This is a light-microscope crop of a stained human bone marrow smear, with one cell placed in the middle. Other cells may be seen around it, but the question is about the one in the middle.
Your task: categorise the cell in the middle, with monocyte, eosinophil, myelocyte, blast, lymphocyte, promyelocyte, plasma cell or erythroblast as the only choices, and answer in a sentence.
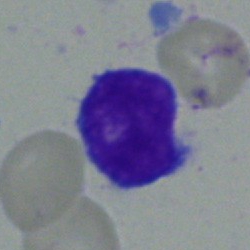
The middle cell in this particular crop is a blast.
